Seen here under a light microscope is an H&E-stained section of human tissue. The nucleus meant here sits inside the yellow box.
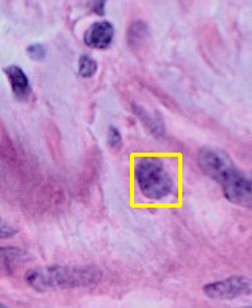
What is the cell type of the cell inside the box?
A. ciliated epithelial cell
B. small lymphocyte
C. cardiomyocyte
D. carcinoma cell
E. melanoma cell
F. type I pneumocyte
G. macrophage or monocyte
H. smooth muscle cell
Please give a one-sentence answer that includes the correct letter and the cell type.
On this slide, the cell inside the box is a macrophage or monocyte, so option G is right.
